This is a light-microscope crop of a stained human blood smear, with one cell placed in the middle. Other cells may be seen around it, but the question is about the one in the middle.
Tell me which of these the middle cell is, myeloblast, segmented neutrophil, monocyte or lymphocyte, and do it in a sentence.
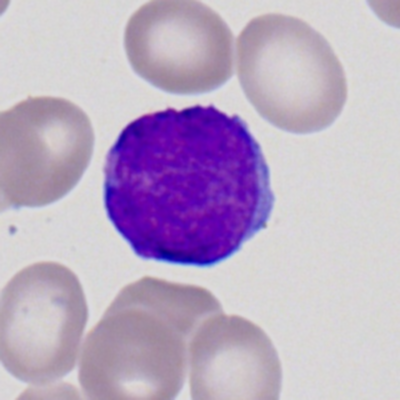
As for the central cell, it is a myeloblast.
